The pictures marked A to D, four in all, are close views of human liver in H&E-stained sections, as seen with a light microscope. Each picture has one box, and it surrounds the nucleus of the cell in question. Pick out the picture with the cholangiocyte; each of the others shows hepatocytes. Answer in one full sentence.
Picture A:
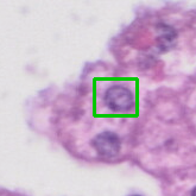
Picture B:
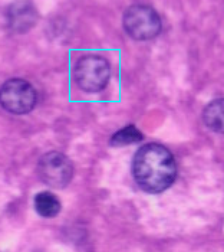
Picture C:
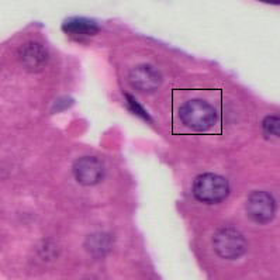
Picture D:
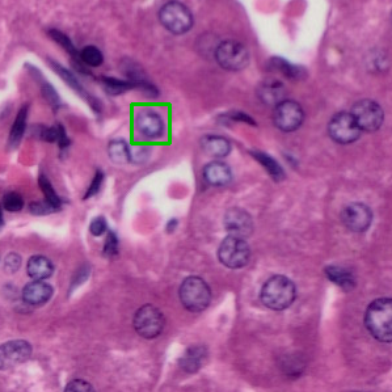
The cholangiocyte is the one in picture D.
